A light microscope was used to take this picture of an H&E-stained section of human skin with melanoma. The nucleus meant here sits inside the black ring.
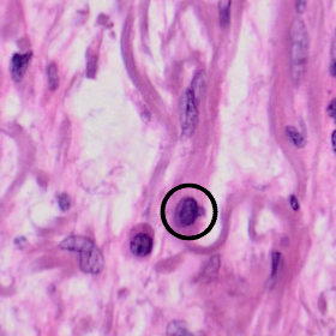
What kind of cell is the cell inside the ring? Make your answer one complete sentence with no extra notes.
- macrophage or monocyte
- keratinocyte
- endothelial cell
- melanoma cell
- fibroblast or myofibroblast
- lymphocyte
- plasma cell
In short, the cell inside the ring on this section is a plasma cell.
